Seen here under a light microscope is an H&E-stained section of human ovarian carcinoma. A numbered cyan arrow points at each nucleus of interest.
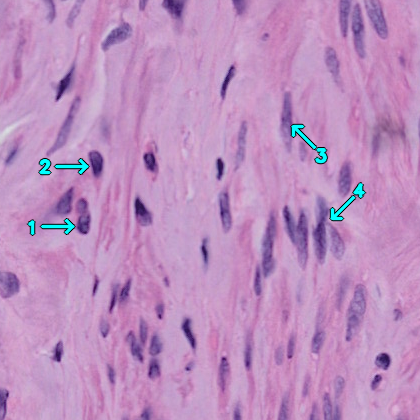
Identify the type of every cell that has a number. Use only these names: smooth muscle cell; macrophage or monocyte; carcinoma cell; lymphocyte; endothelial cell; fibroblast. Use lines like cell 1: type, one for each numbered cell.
cell 1: smooth muscle cell
cell 2: smooth muscle cell
cell 3: smooth muscle cell
cell 4: fibroblast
